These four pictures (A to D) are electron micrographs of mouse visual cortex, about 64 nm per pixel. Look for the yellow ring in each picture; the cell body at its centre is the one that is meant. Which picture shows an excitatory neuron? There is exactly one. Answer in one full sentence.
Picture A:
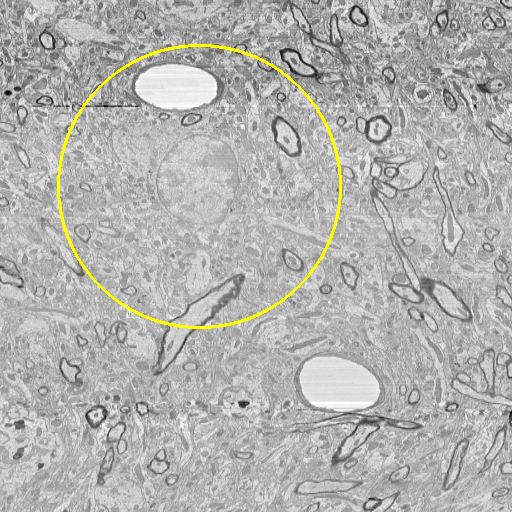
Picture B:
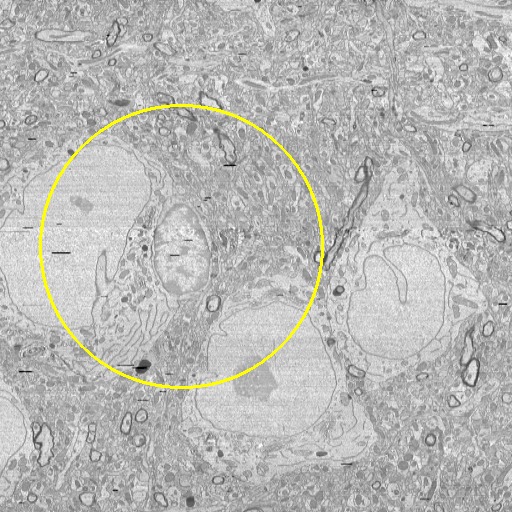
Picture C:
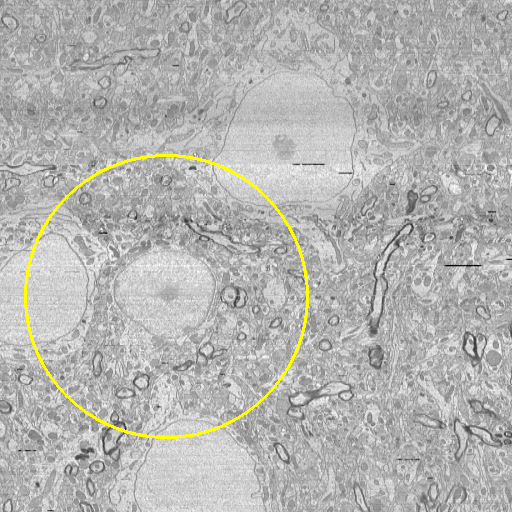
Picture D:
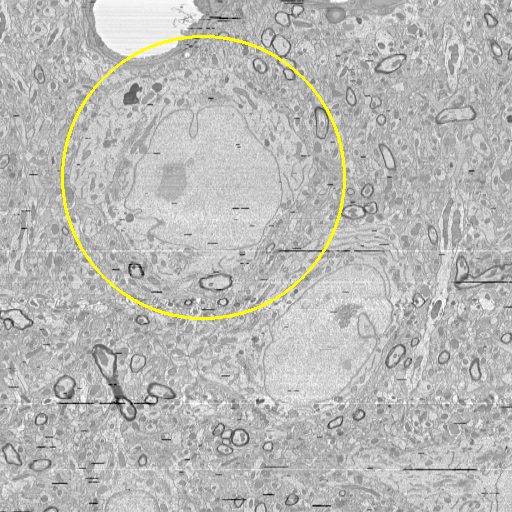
The picture with the excitatory neuron is D.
